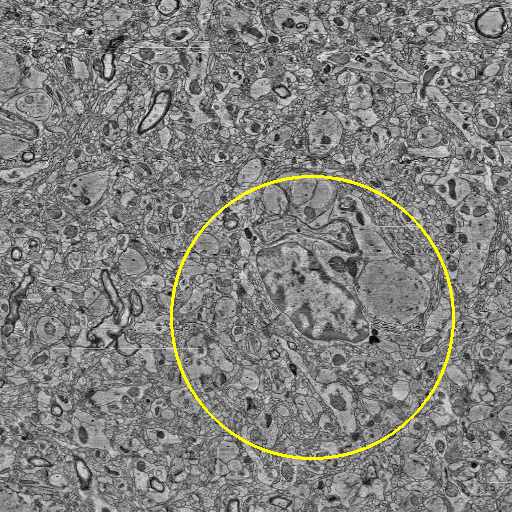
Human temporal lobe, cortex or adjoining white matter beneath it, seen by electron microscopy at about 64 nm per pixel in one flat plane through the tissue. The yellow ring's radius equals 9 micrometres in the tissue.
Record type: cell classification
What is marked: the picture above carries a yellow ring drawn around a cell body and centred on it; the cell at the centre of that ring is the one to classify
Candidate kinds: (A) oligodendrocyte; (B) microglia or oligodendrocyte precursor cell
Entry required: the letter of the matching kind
B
